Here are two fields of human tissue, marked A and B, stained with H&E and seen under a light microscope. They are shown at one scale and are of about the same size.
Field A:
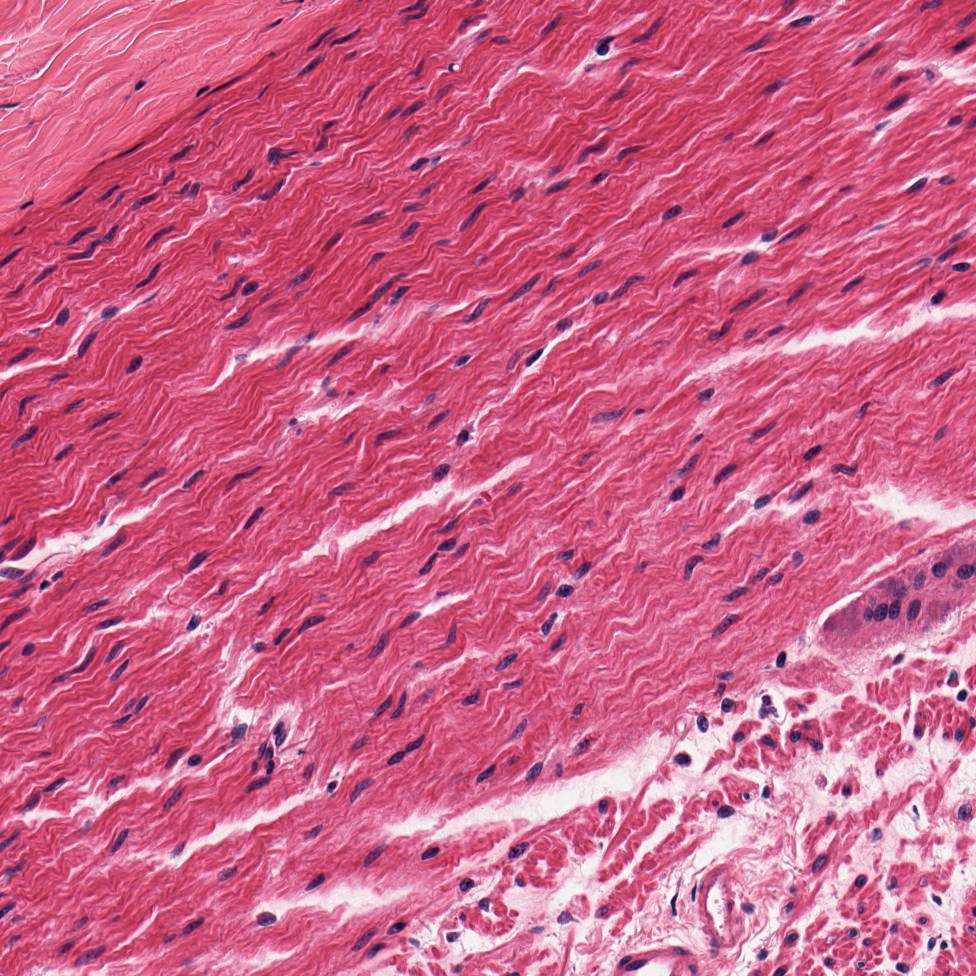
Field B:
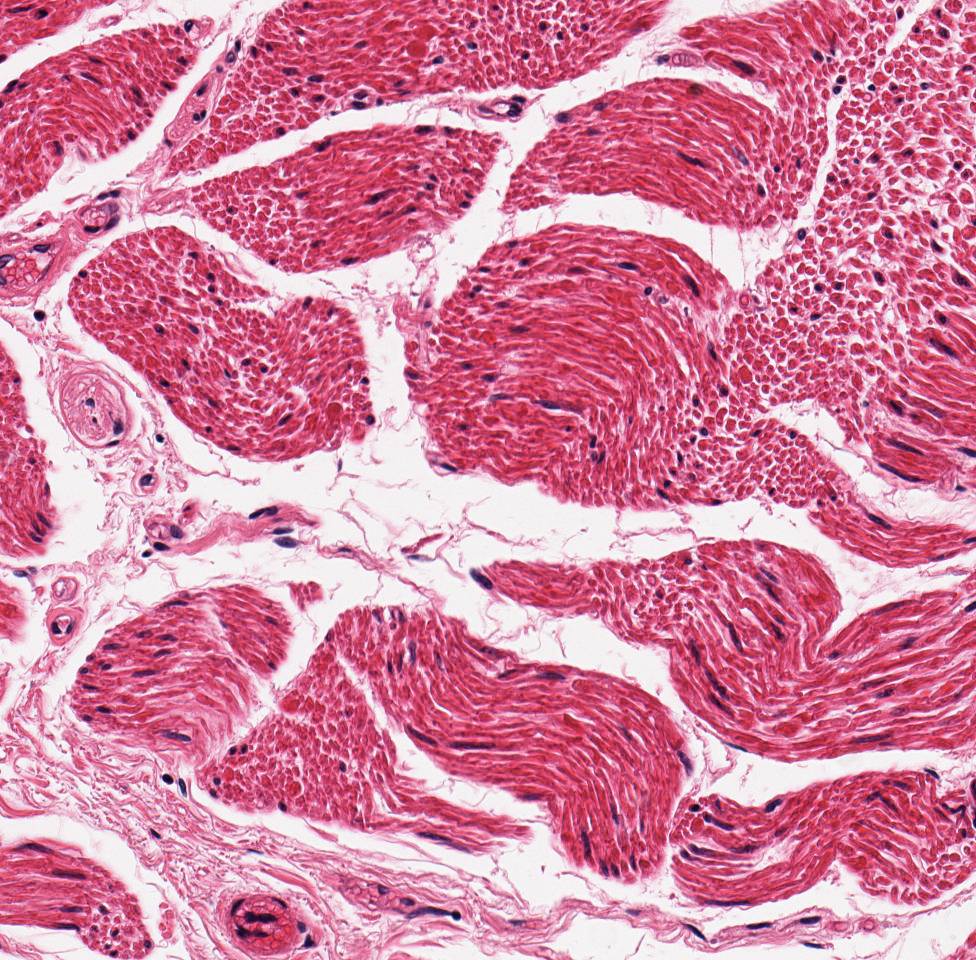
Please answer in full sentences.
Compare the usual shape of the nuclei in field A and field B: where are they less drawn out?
Rounder nuclei lie in field B.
